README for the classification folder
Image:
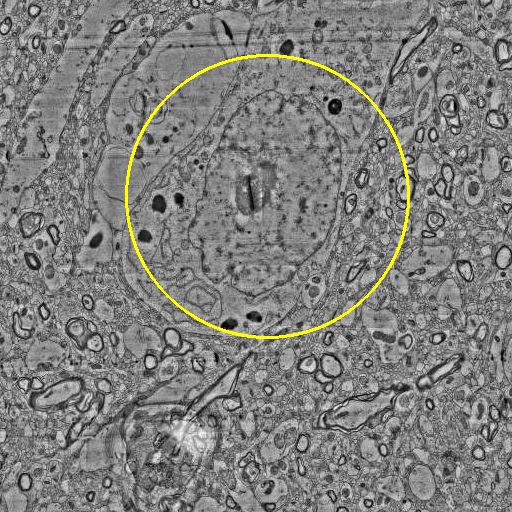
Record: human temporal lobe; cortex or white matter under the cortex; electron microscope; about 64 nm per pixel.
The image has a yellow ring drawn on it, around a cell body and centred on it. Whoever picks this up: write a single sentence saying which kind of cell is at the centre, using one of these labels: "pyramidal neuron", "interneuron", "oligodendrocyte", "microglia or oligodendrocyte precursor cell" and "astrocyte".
This cell body is that of a pyramidal neuron.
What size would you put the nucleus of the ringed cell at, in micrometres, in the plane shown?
About 13 micrometres by about 9 micrometres in this plane.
